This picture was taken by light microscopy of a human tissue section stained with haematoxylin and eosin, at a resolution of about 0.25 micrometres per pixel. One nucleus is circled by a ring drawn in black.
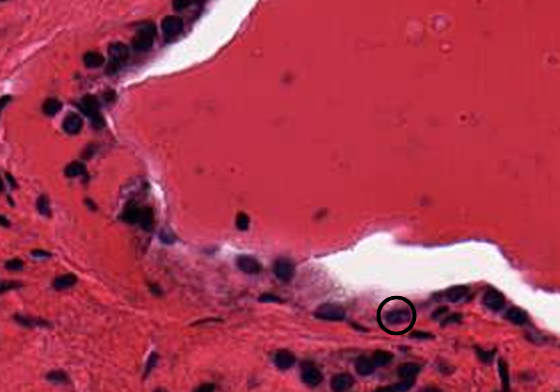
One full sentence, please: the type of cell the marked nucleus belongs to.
It is to a thyroid follicular cell that the marked nucleus belongs.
